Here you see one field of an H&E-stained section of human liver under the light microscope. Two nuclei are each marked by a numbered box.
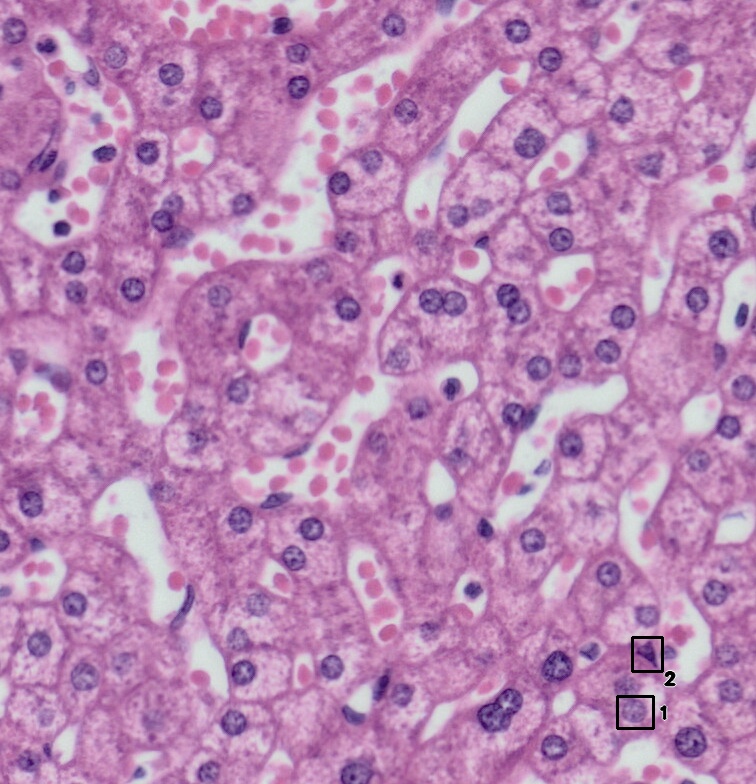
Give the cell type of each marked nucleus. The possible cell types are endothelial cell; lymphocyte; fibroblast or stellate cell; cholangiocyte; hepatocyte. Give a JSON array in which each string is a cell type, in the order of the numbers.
["hepatocyte", "fibroblast or stellate cell"]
